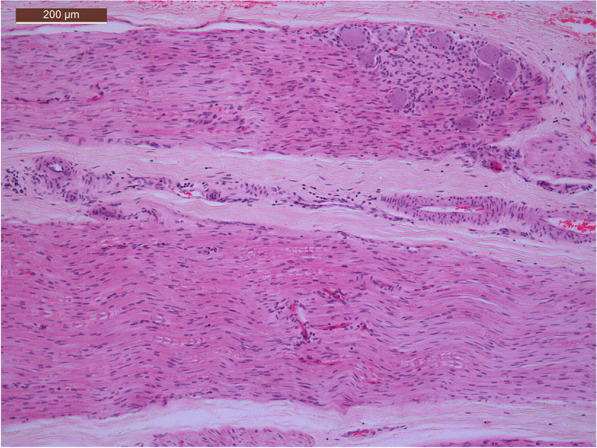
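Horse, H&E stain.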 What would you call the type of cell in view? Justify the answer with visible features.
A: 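Ganglion cells. A cluster of large round pale pink cells lies in the upper right of the upper bundle. These large cells are far bigger than the surrounding spindle-shaped nuclei.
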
